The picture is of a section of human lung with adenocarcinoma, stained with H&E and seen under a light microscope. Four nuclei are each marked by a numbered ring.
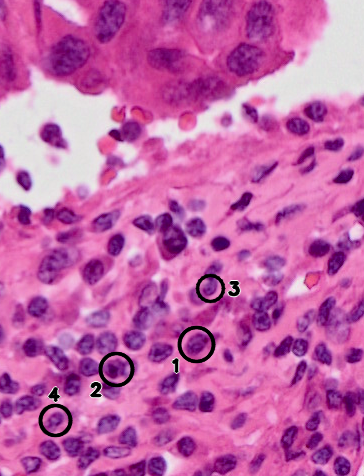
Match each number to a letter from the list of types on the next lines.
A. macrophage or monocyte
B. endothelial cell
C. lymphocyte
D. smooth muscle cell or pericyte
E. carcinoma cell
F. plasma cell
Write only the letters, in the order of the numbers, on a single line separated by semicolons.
F; C; C; C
